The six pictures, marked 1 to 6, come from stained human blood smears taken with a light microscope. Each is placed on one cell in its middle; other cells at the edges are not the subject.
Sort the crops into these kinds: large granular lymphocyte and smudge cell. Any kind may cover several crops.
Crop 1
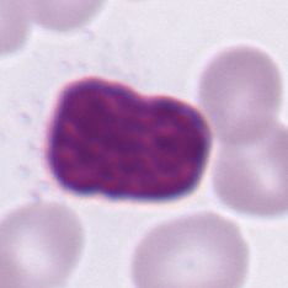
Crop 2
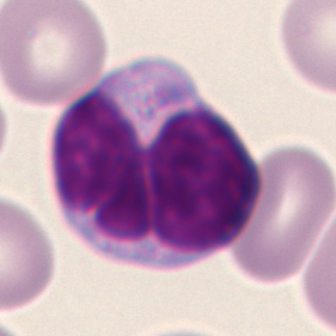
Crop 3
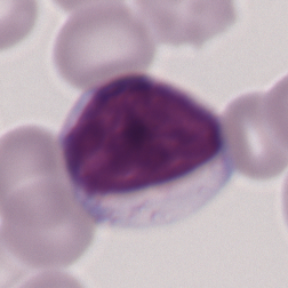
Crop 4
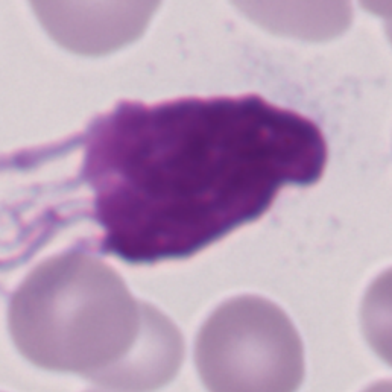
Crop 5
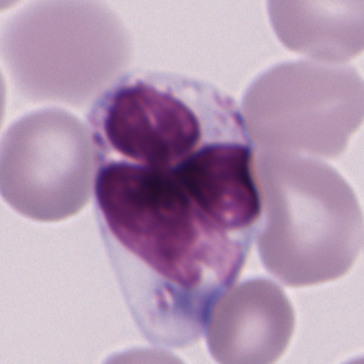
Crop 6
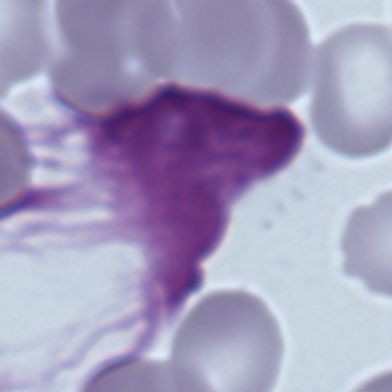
1: smudge cell
2: large granular lymphocyte
3: large granular lymphocyte
4: smudge cell
5: large granular lymphocyte
6: smudge cell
